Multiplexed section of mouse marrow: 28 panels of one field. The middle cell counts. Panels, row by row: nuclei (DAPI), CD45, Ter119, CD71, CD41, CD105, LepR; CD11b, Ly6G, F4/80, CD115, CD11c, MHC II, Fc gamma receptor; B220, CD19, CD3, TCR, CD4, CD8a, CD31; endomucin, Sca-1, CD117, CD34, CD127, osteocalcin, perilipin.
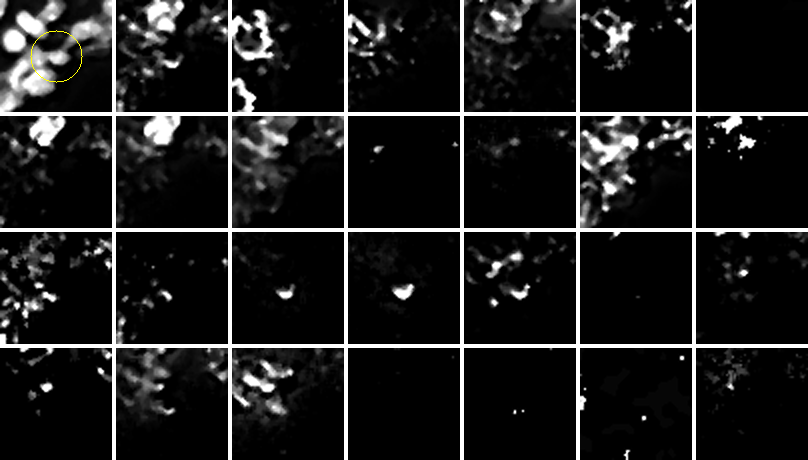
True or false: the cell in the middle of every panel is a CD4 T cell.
True.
